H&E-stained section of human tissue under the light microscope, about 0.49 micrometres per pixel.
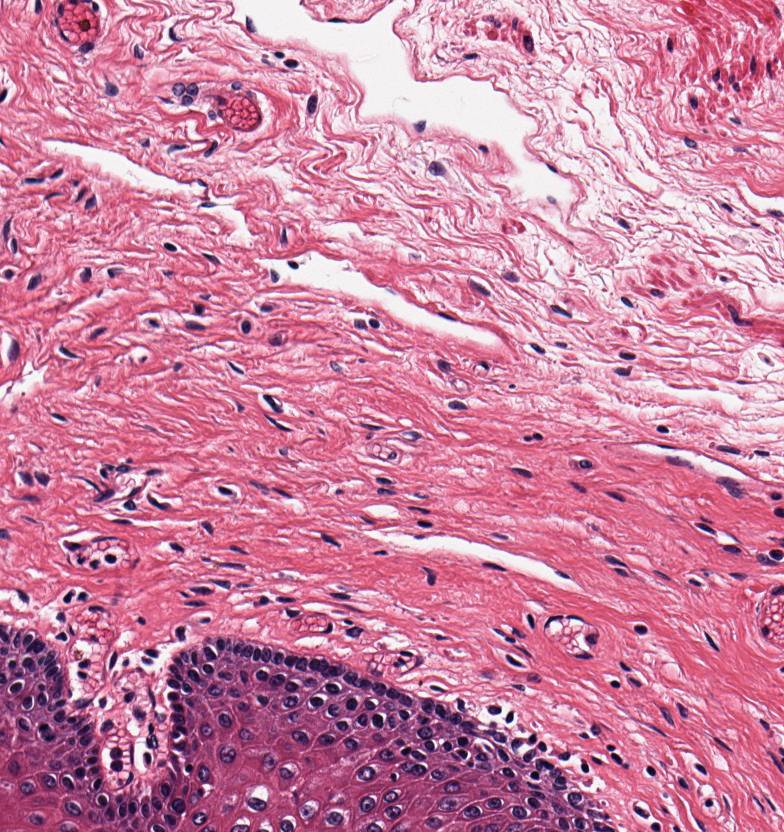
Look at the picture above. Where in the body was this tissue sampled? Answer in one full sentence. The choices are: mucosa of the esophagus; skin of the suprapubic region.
This specimen was obtained from the mucosa of the esophagus.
